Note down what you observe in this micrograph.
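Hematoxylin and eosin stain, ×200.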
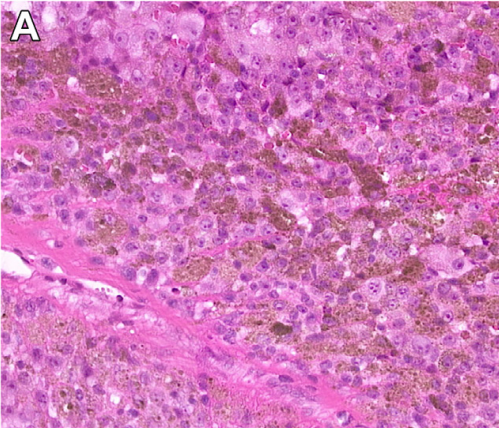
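This is a sheet of epithelioid tumour cells, many of them laden with brown pigment. The cells are plump and polygonal, with ample pink cytoplasm and round to oval nuclei. Many nuclei hold a single conspicuous nucleolus that stands out as a dark dot. Coarse brown granules crowd the cytoplasm of numerous cells, and in places the pigment is so dense that it hides the cell outline. A thin band of pink fibrous tissue with a small vessel runs diagonally across the lower left corner.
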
